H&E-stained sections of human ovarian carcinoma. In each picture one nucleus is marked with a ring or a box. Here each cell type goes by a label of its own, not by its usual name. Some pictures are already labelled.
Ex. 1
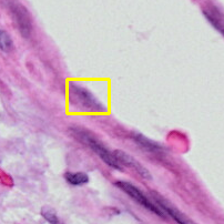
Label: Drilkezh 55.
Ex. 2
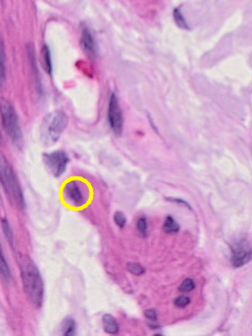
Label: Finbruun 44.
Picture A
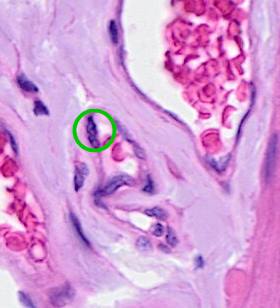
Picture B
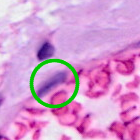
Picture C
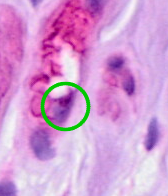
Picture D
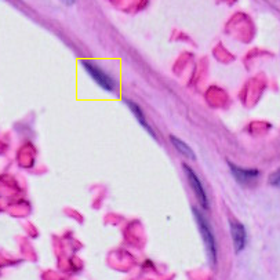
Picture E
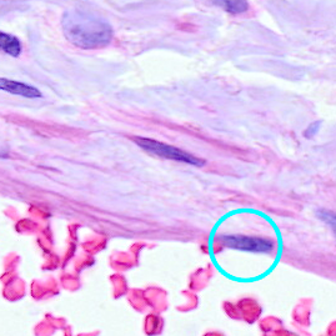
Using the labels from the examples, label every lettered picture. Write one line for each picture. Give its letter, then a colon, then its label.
A: Drilkezh 55.
B: Drilkezh 55.
C: Drilkezh 55.
D: Drilkezh 55.
E: Drilkezh 55.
